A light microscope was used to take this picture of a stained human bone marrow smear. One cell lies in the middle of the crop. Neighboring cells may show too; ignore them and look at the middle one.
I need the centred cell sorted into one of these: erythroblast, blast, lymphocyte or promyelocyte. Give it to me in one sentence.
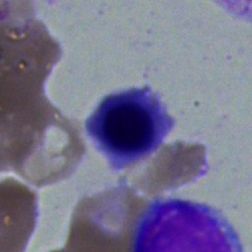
The cell in the middle of this crop is an erythroblast.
